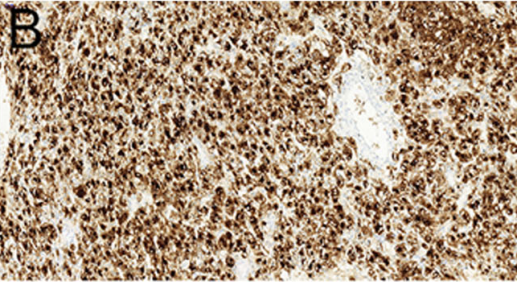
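This section shows sheets of tumor cells, nearly all of them stained strong dark brown in their cytoplasm. The cells are closely packed and rounded to polygonal to slightly elongated, with brown granular staining that obscures much of the nuclear detail. A small vessel with a clear lumen lies among them, its wall largely unstained.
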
